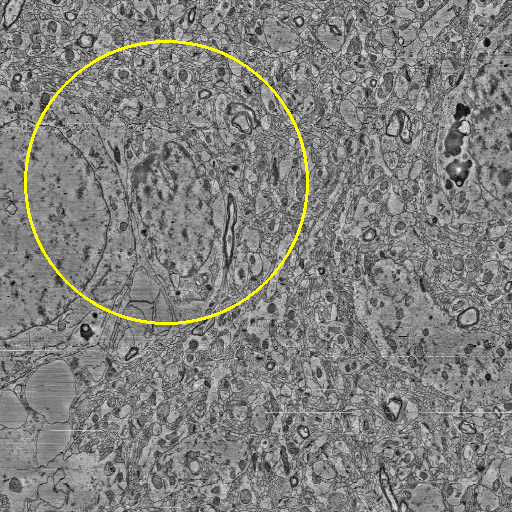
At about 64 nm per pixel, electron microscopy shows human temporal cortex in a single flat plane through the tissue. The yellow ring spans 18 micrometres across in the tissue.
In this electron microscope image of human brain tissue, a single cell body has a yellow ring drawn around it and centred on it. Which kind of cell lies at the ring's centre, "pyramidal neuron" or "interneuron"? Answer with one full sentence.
It is an interneuron whose cell body lies at the centre of the yellow ring here.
